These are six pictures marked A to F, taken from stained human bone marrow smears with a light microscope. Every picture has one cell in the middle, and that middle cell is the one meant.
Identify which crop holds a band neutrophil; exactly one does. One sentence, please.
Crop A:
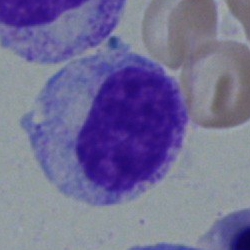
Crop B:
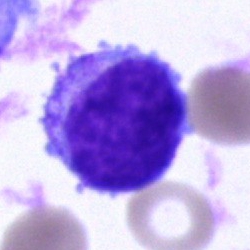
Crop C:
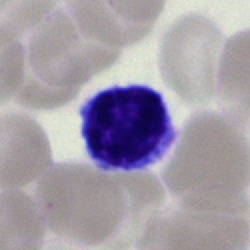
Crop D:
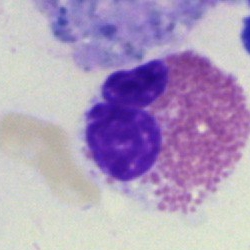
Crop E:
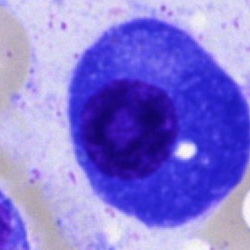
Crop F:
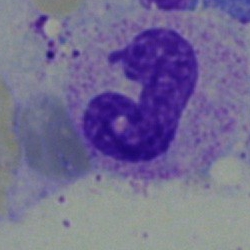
Only in crop F is a band neutrophil shown.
